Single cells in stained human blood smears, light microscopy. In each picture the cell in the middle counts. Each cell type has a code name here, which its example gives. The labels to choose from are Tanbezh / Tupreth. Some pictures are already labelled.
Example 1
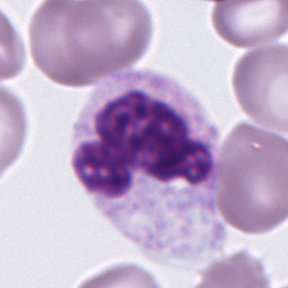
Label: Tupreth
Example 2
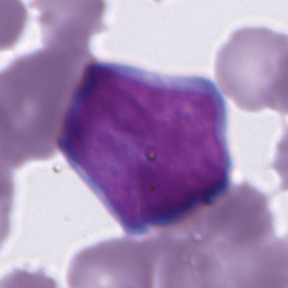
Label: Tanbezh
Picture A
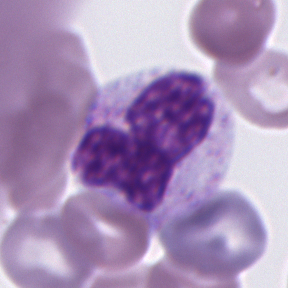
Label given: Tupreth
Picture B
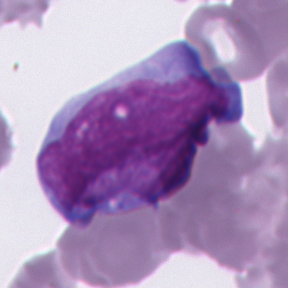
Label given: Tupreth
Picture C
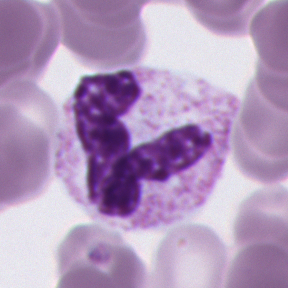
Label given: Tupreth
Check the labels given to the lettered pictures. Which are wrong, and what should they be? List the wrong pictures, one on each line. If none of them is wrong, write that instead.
B is labelled Tupreth; correct label: Tanbezh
